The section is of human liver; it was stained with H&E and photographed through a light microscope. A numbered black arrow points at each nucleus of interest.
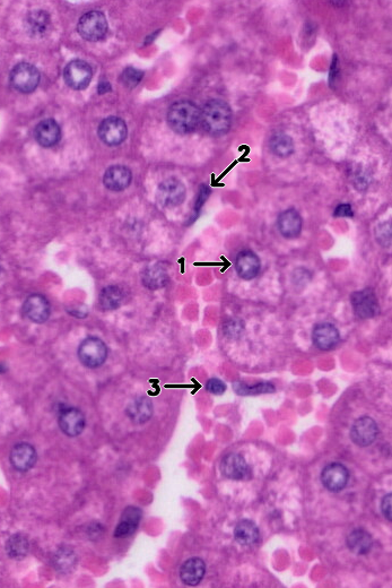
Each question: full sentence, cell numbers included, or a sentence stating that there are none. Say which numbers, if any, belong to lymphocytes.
Among the cells marked with numbers, the only one that is a lymphocyte is number 3.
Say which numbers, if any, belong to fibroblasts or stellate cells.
With the exception of cell 2, no marked cell is a fibroblast or stellate cell.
